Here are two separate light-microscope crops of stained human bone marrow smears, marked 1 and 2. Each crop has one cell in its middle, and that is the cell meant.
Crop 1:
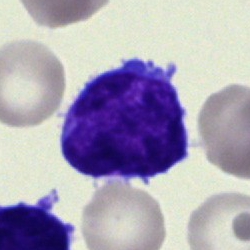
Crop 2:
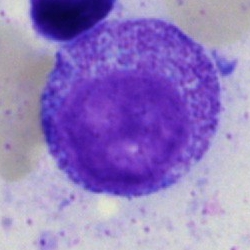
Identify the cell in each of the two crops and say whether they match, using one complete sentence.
No, it is crop 1 that shows a blast, and crop 2 that shows a myelocyte.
